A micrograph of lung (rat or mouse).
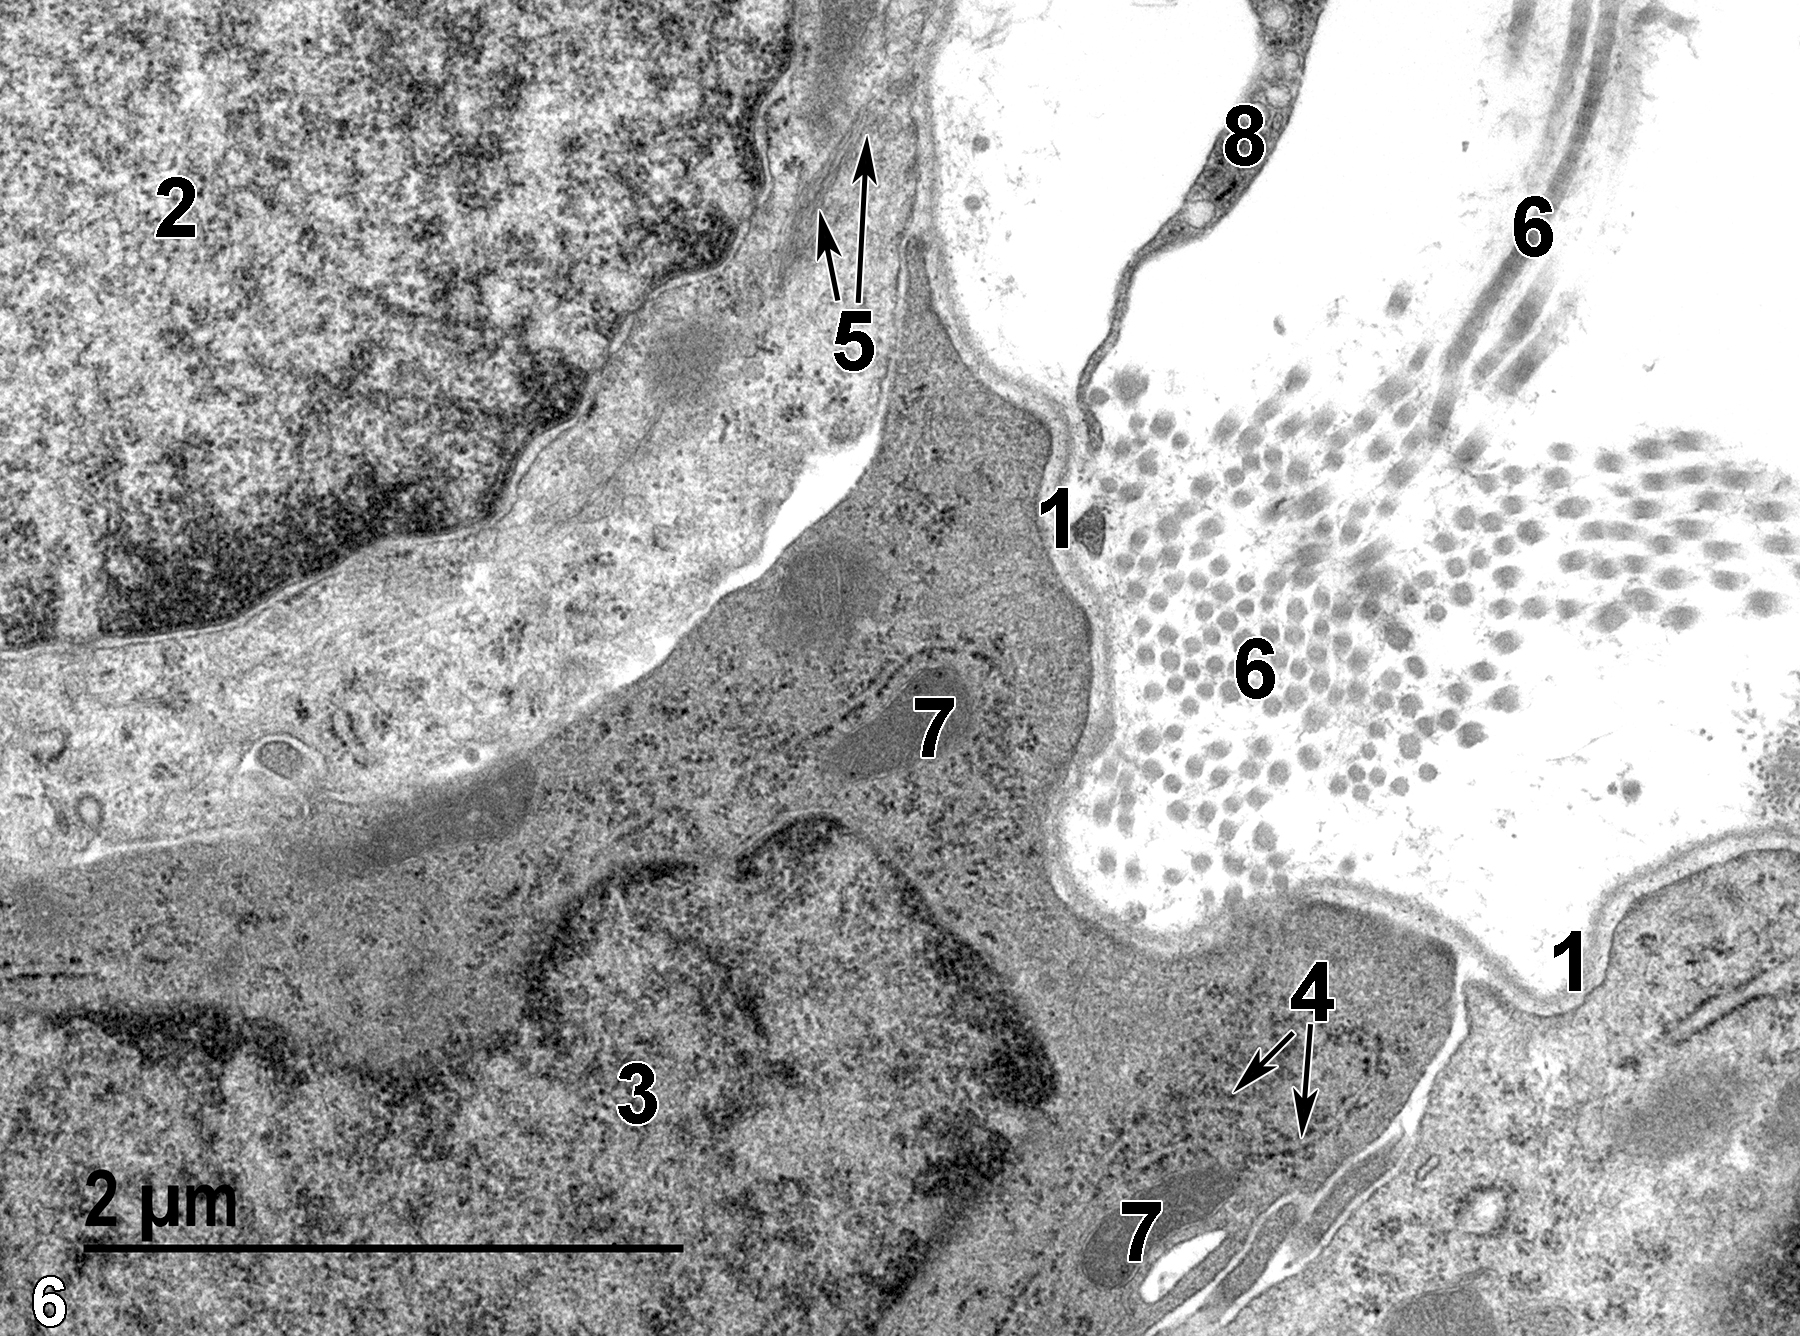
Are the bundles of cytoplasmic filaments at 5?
Yes, 5 marks the bundles of cytoplasmic filaments.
